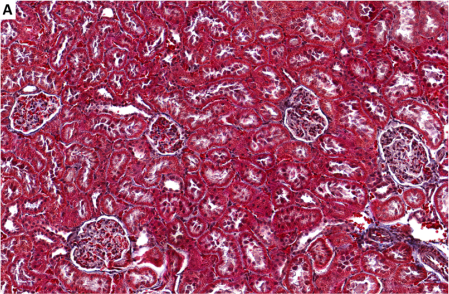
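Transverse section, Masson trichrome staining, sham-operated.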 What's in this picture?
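Kidney tissue is stained red and purple, with fine blue strands of connective tissue. Several round glomeruli are scattered through the field. Each glomerulus is a compact tuft of capillary loops with dark nuclei. It is surrounded by a narrow clear rim of Bowman's space and a thin capsule. Between the glomeruli, many tubules are packed closely in cross and oblique section. They are lined by cuboidal epithelial cells with red cytoplasm and small round nuclei around open pale lumina. Some blue-stained connective tissue is seen around a vessel at the right edge of the field.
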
